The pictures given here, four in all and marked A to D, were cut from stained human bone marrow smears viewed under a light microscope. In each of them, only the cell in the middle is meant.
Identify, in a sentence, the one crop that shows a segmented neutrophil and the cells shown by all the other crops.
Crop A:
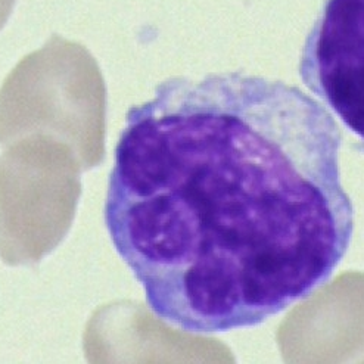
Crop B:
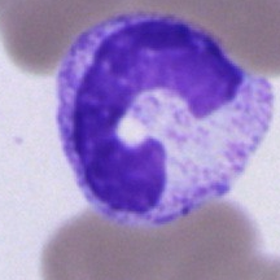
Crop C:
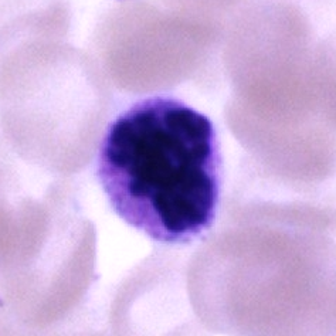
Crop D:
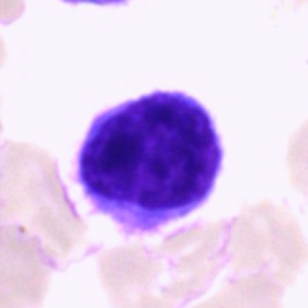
It is a segmented neutrophil that crop C shows, while crop A is a monocyte, crop B is a band neutrophil and crop D is a lymphocyte.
